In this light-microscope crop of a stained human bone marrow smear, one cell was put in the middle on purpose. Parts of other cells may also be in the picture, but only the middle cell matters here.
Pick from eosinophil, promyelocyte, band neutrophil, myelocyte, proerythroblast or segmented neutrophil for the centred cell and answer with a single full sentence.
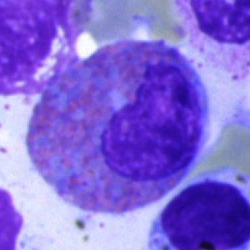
Centred in the crop is an eosinophil.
